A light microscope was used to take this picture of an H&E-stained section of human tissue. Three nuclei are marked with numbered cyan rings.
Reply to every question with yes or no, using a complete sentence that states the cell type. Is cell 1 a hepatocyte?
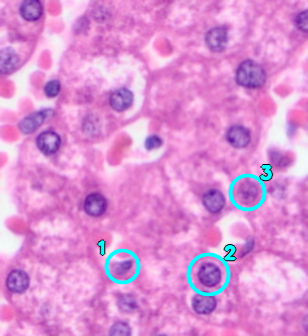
No, cell 1 is correctly identified as an endothelial cell and not as a hepatocyte.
